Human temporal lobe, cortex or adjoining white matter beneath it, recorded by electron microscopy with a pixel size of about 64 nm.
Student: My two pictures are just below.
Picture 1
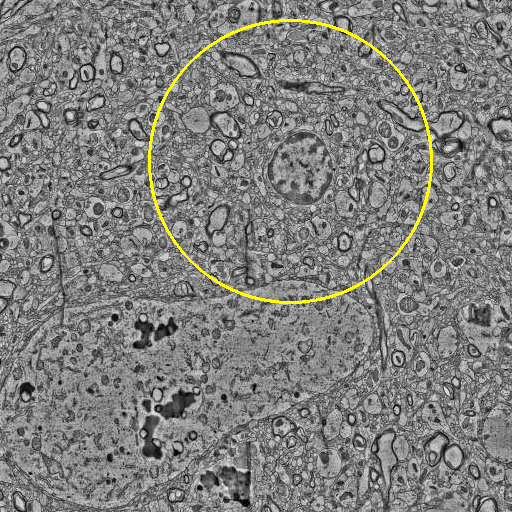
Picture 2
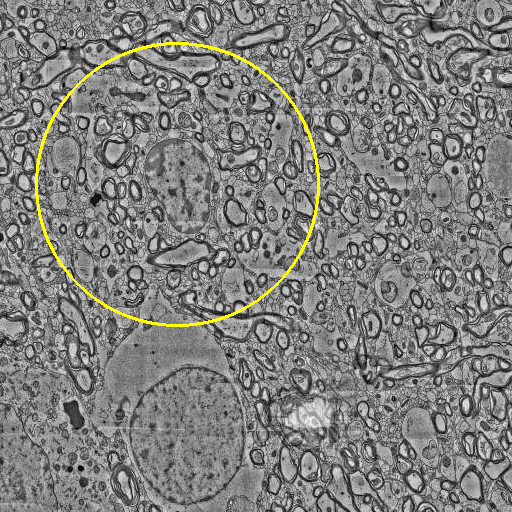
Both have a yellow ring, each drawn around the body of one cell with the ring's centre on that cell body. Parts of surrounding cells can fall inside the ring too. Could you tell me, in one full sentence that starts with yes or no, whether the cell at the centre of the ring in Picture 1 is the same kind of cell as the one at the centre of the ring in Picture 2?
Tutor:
Yes, the two cells are of the same kind.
